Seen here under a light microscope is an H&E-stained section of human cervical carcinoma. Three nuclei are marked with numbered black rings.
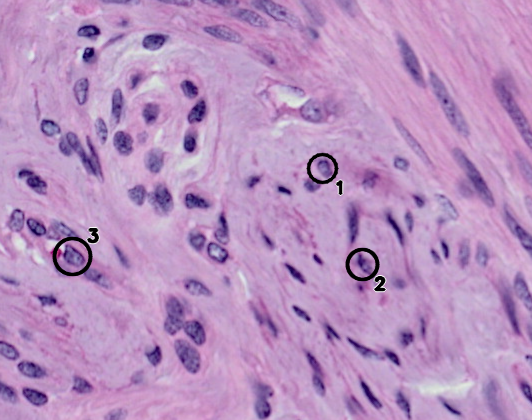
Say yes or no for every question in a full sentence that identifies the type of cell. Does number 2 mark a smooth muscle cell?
Yes, the cell at number 2 is a smooth muscle cell.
